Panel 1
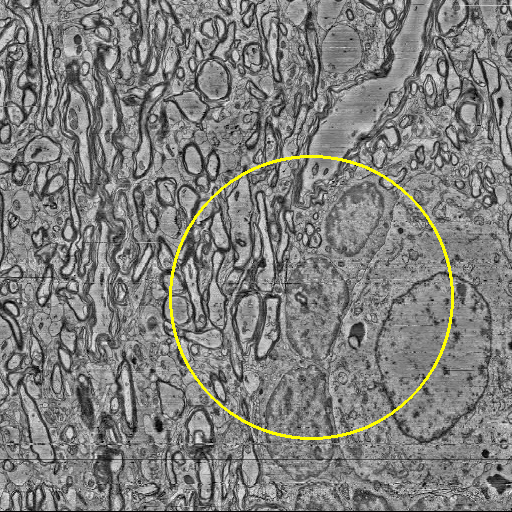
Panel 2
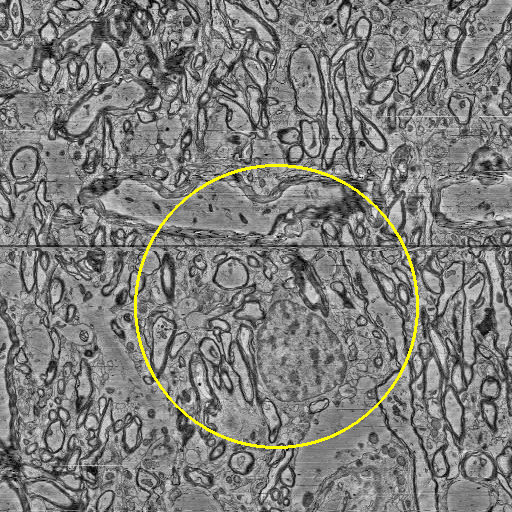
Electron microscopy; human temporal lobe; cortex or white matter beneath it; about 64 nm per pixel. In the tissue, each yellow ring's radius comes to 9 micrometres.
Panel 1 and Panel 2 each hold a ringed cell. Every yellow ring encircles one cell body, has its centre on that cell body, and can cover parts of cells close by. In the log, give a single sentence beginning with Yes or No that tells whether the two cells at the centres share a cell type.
Yes, in Panel 1 and Panel 2 the centred cells share a cell type.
